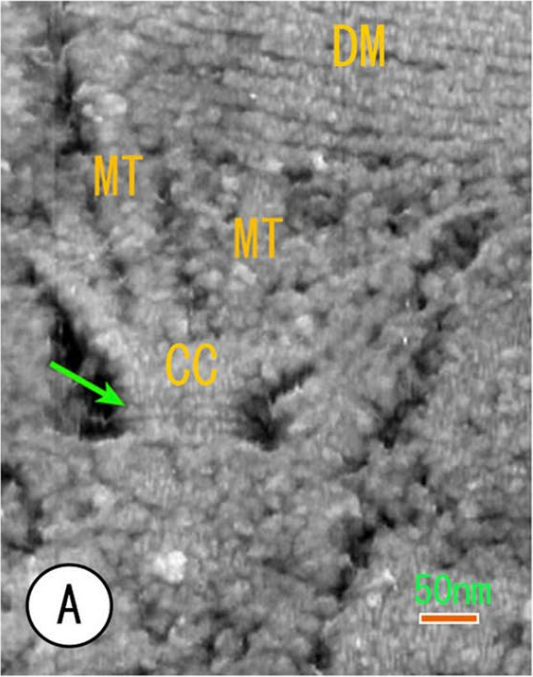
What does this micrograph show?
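This is a surface image of the narrow connecting cilium that joins the outer and inner segment, seen at very high magnification. In the upper part, a series of fine parallel lamellae runs across the field. Below these, several rod-like strands, the microtubules, run downward and converge onto a narrow stalk, the connecting cilium. On the outside of that stalk, fine, regularly spaced transverse striations can be made out. The surrounding surface has a granular, knobbly texture with dark clefts to either side of the stalk, and no finer substructure of the microtubules can be resolved.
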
